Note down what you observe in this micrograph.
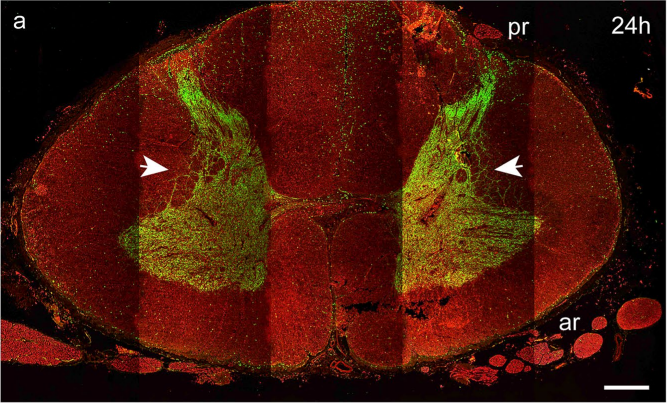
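A whole transverse section of spinal cord shows a central butterfly-shaped gray matter densely labeled green, surrounded by a broad red rim of white matter. Fine green fibre-like streaks radiate from the gray matter outward into the white matter on both sides.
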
